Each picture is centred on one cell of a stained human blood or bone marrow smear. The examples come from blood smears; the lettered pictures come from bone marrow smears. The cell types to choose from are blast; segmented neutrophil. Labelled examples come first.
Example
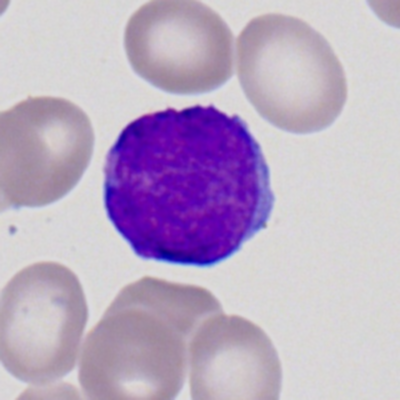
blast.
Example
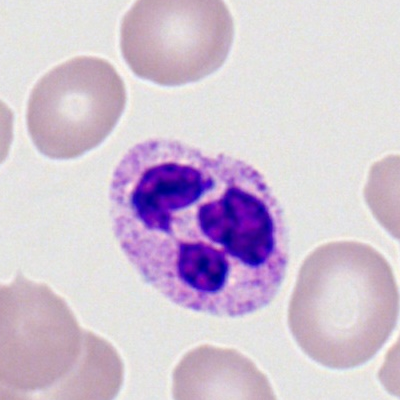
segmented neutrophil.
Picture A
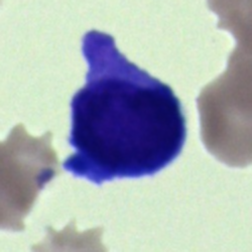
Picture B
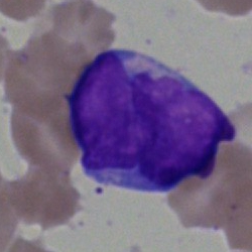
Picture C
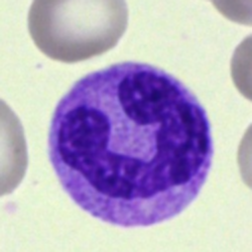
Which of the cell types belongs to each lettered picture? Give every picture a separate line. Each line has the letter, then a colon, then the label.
A: blast.
B: blast.
C: segmented neutrophil.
